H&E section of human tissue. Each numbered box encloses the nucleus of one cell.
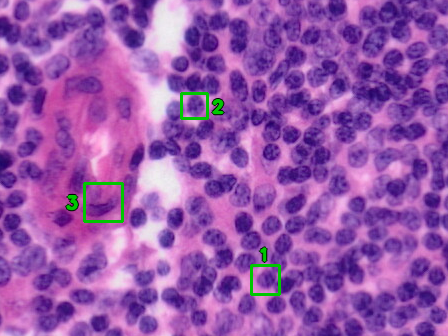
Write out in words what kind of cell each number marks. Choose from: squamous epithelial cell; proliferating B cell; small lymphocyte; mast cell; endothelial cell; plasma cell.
Cell 1 is a small lymphocyte, cell 2 is a small lymphocyte and cell 3 is an endothelial cell.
